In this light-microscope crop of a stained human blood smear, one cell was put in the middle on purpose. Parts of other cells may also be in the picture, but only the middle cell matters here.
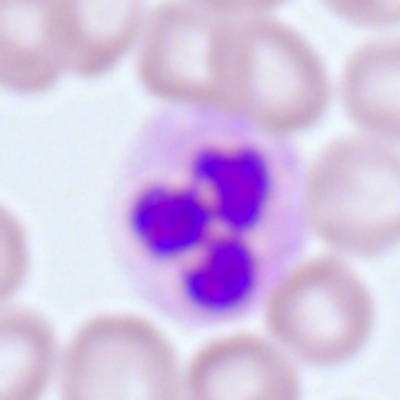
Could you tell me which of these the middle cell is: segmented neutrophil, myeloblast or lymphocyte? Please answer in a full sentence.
Located at the centre of the crop is a segmented neutrophil.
